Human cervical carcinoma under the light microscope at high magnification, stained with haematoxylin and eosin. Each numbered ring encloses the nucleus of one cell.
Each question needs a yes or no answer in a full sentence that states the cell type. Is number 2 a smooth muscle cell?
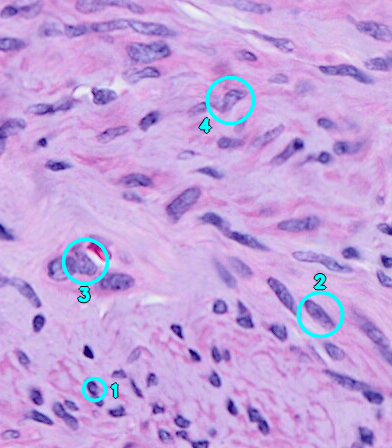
Yes, the cell with the mark numbered 2 is a smooth muscle cell.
